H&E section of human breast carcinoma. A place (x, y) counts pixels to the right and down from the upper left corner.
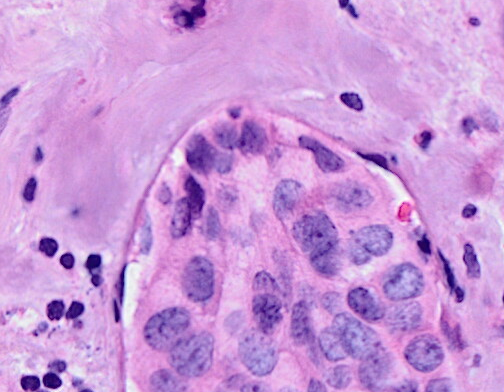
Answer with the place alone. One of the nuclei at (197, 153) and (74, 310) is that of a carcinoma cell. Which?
(197, 153)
